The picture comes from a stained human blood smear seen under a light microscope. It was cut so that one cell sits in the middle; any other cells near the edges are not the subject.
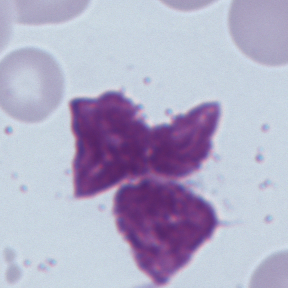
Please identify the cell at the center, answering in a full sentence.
The cell at the centre of the field is a smudge cell.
